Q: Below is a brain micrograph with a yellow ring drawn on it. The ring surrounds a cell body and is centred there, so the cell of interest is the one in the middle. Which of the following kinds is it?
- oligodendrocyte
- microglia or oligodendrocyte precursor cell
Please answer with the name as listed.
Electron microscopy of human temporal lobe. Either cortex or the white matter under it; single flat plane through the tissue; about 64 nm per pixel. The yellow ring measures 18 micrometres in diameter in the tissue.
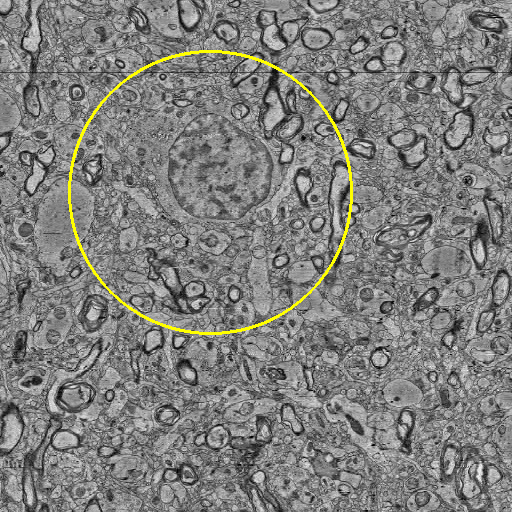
oligodendrocyte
